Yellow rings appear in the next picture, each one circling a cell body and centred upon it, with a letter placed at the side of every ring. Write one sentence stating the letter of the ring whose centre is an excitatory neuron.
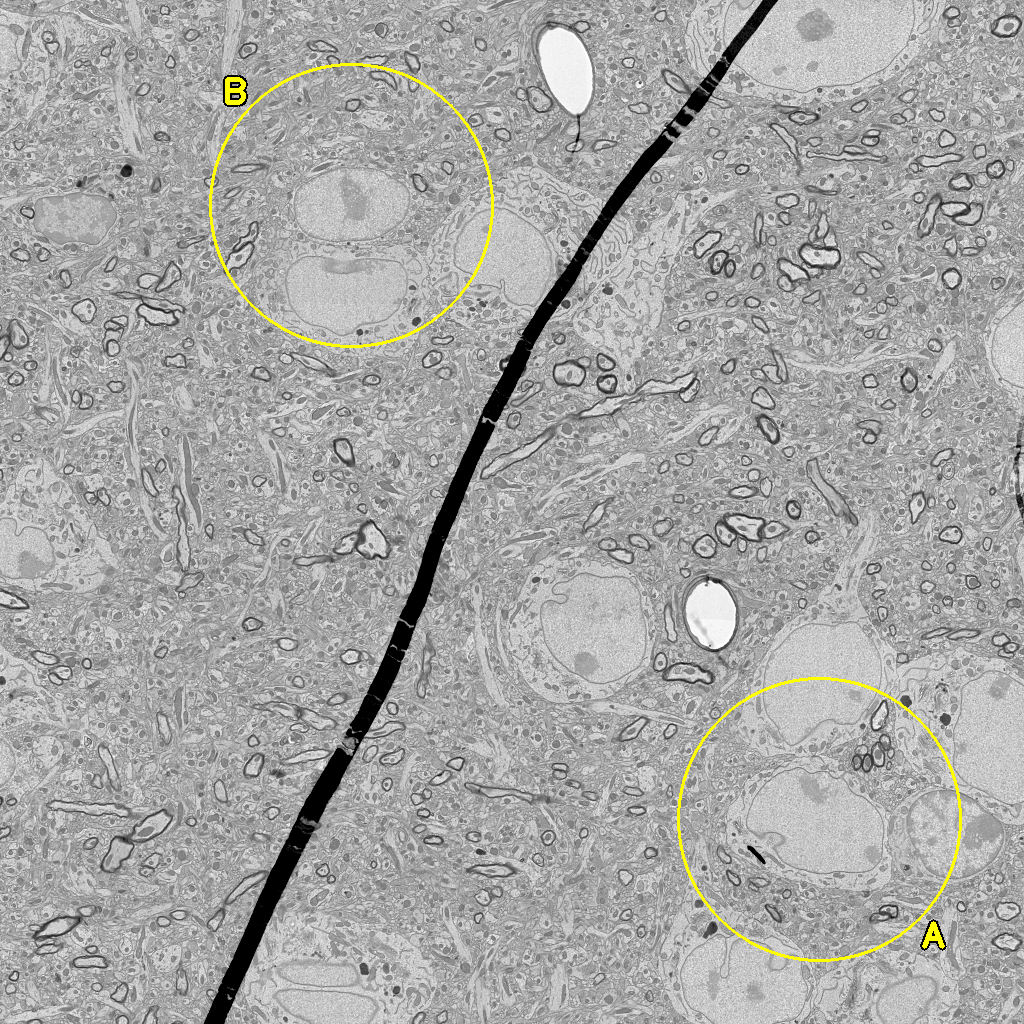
In the picture, the cell asked for lies at the centre of ring A.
